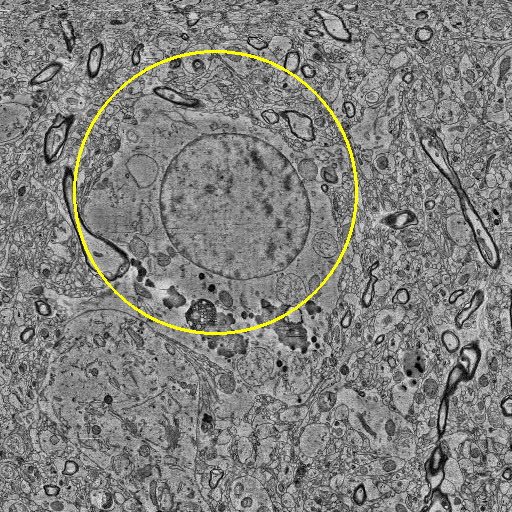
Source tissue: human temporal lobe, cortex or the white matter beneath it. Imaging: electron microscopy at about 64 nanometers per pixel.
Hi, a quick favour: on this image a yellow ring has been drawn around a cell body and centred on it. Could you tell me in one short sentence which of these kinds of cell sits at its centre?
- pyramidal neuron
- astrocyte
The ring is centred on an astrocyte.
